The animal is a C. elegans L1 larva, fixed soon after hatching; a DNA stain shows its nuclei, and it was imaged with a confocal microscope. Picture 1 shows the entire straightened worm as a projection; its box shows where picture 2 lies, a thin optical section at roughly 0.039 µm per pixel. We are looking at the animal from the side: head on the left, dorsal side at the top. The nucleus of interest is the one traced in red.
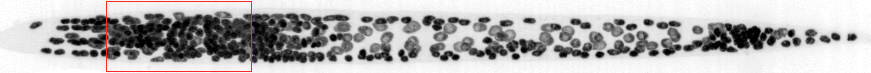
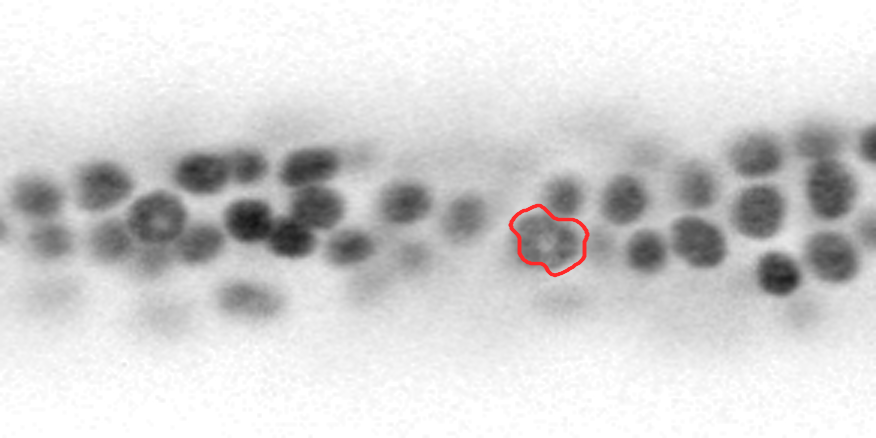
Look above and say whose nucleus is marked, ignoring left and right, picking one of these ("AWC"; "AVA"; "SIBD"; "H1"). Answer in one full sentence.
The marked nucleus belongs to H1, a seam cell.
